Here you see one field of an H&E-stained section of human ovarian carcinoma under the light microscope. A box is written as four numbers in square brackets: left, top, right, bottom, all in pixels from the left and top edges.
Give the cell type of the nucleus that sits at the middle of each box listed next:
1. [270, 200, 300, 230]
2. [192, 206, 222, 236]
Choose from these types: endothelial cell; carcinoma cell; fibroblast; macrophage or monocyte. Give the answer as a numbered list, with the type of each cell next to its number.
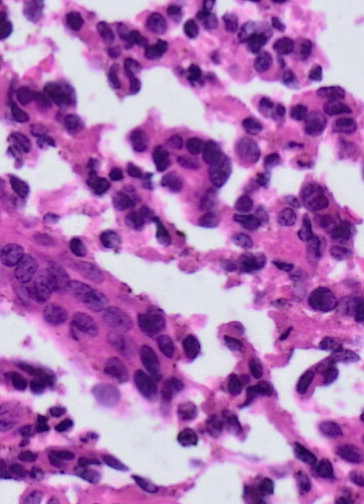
1. macrophage or monocyte
2. carcinoma cell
